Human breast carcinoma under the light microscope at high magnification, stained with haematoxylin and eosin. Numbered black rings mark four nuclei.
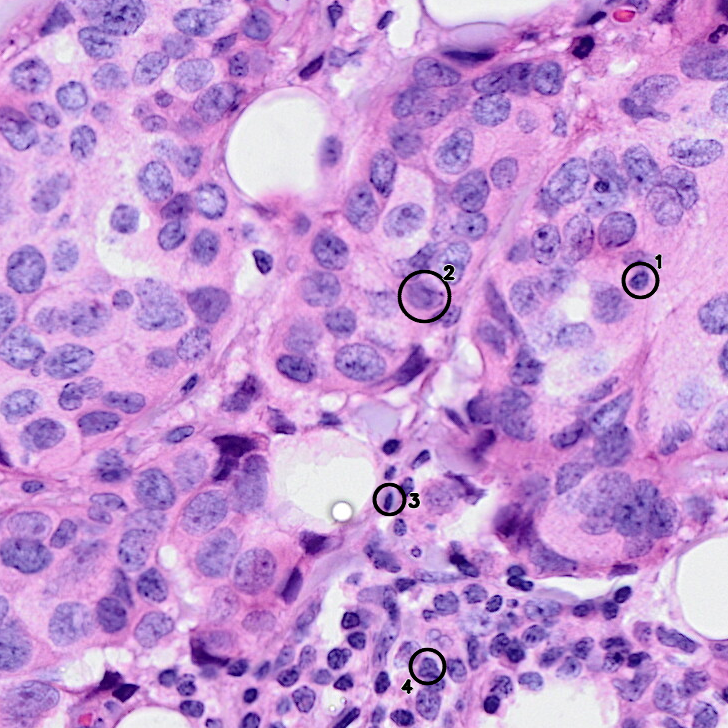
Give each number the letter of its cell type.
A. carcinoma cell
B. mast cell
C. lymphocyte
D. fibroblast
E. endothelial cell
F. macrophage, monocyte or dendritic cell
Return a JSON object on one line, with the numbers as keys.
{"1": "C", "2": "A", "3": "C", "4": "C"}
